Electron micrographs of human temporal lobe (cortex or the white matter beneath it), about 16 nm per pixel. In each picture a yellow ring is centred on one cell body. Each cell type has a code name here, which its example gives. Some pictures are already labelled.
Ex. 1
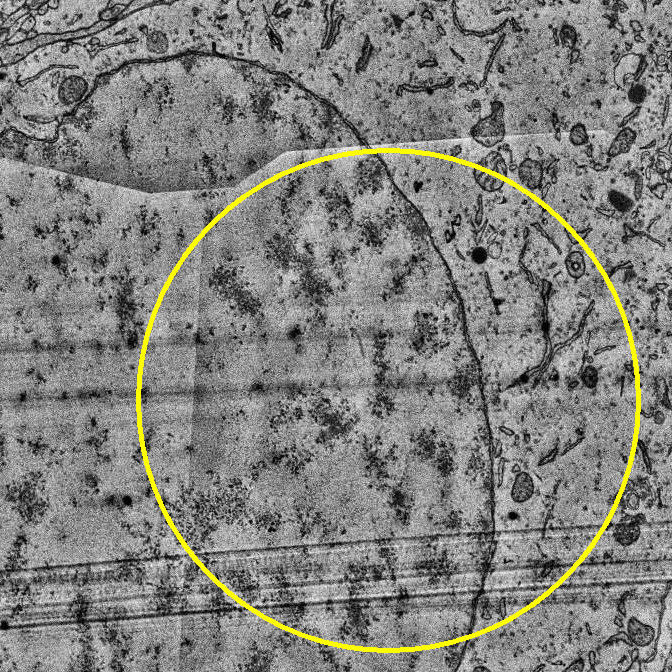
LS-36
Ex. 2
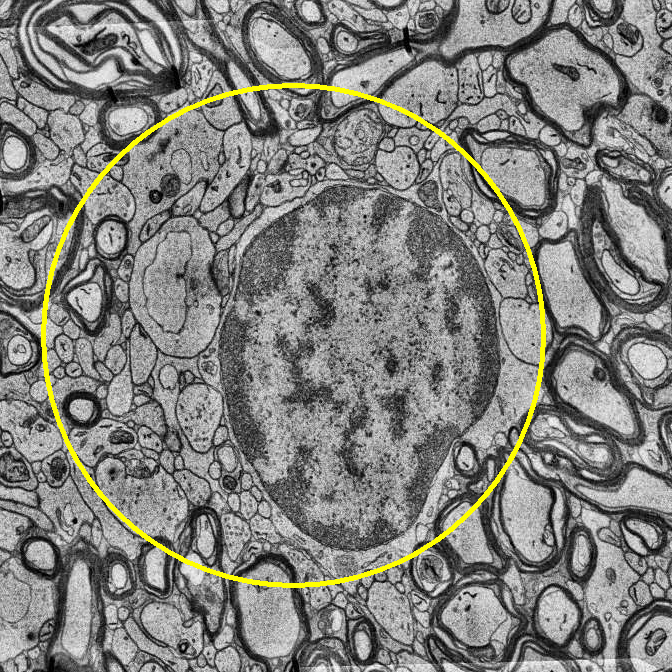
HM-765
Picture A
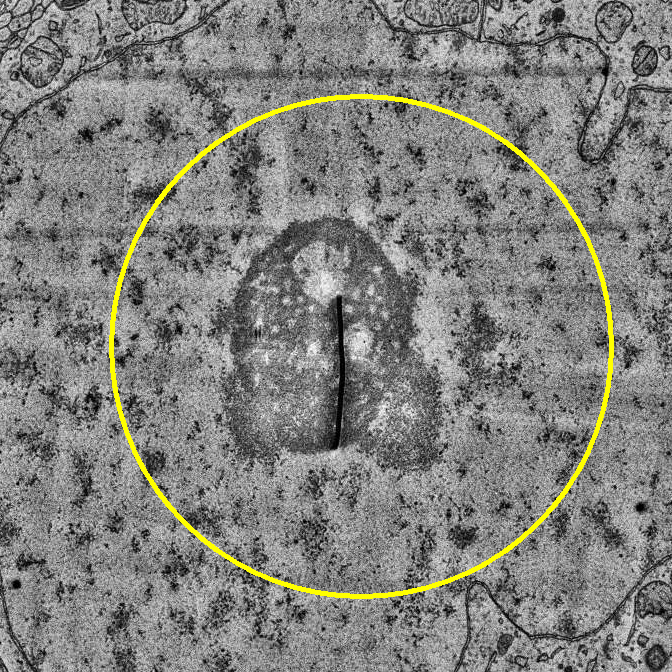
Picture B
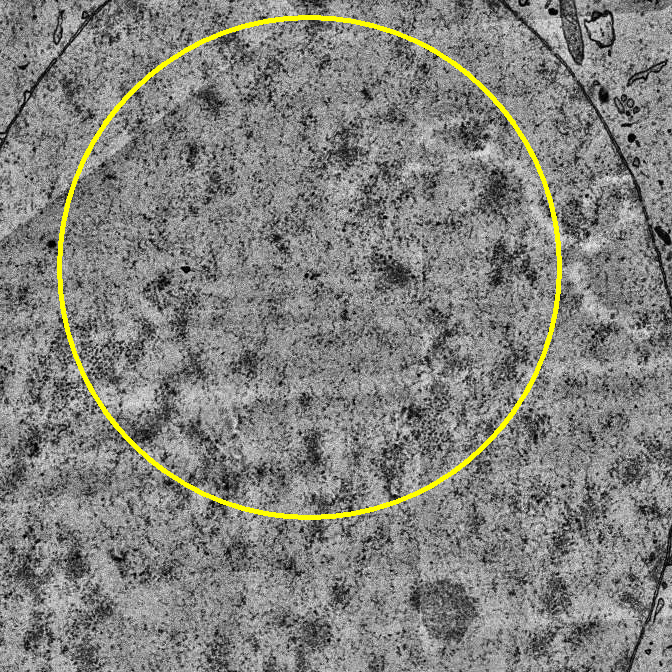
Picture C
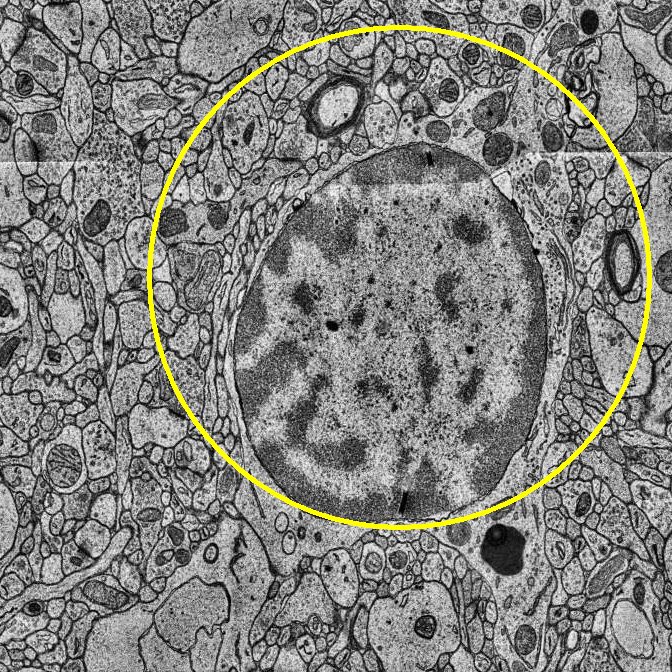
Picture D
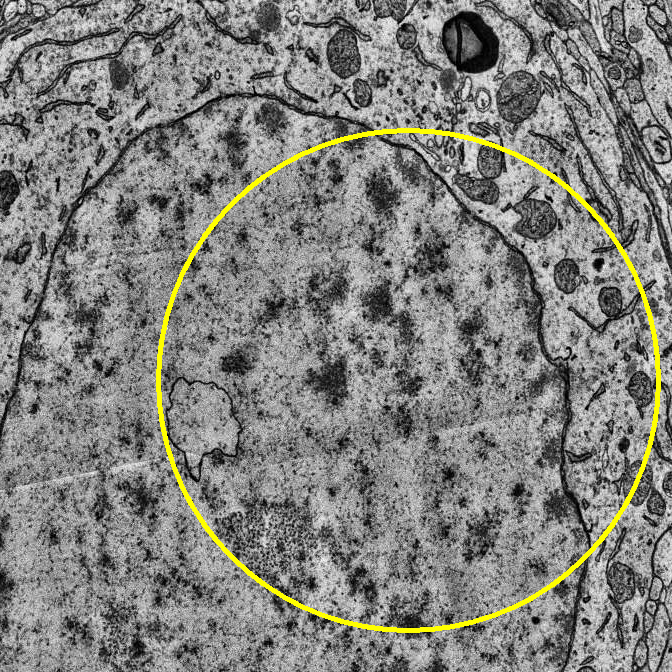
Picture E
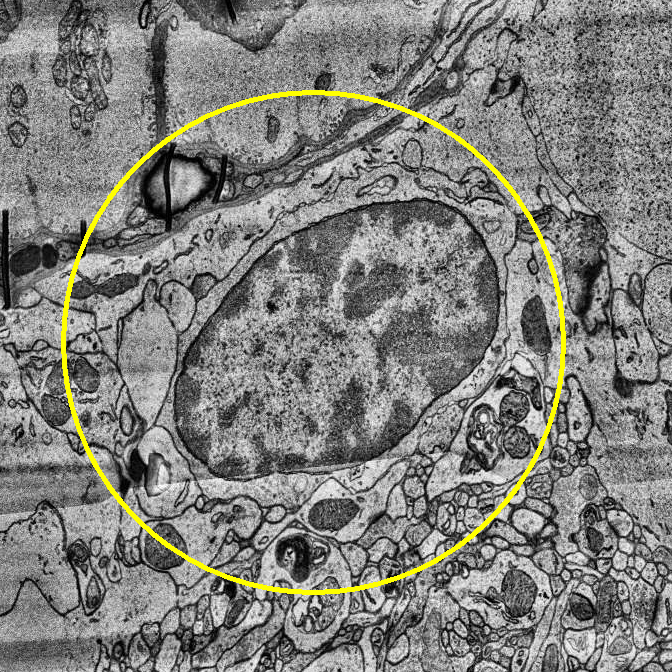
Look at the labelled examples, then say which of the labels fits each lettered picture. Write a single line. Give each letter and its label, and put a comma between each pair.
A LS-36, B LS-36, C HM-765, D LS-36, E HM-765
